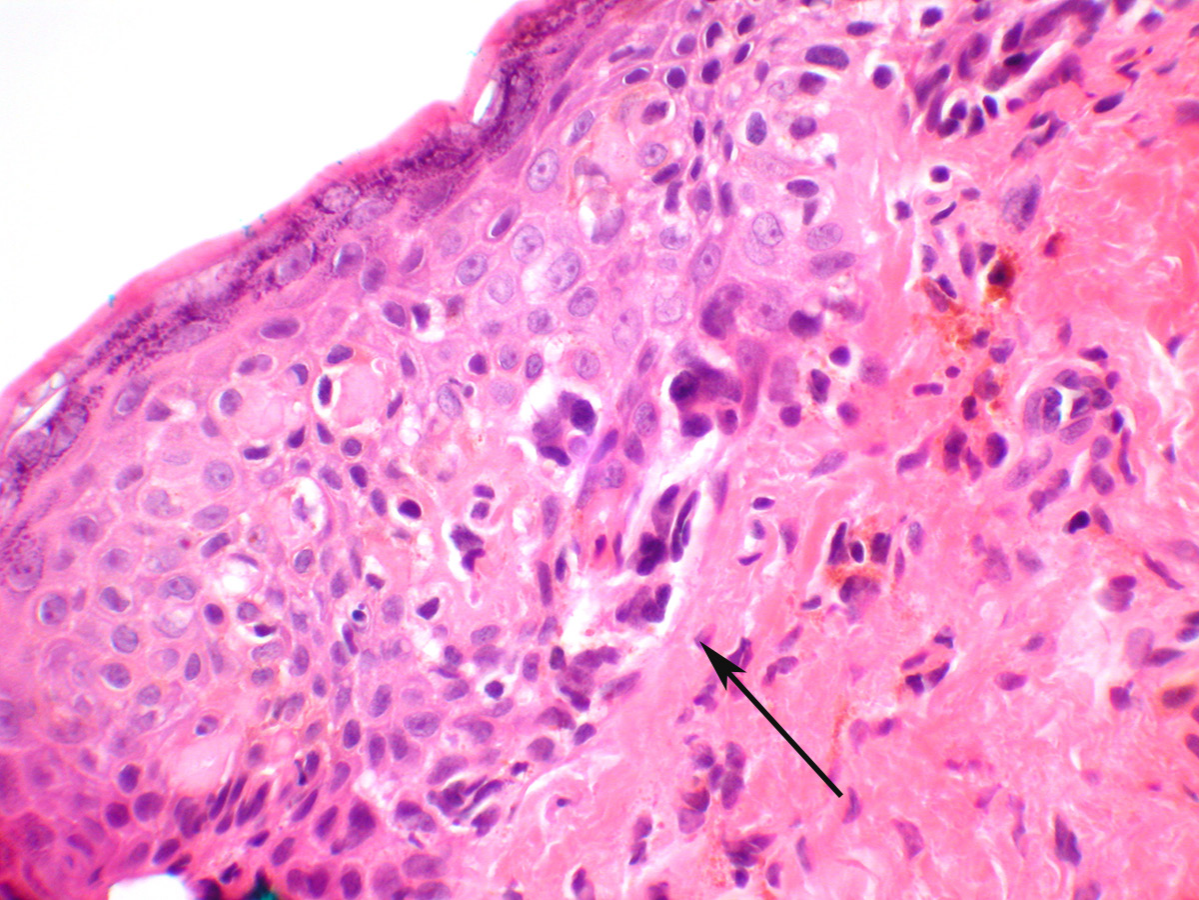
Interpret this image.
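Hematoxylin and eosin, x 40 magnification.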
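This is a stratified epithelium in which atypical melanocytes gather mainly along its basal portion. Toward the base, cells with enlarged, dark, irregular and crowded nuclei lie in small clusters, unlike the evenly spaced epithelial cells above with round to oval nuclei and pink cytoplasm. Some cells scattered within the epithelium sit in clear spaces. Beneath lies pink fibrous stroma containing scattered brown pigment granules.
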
